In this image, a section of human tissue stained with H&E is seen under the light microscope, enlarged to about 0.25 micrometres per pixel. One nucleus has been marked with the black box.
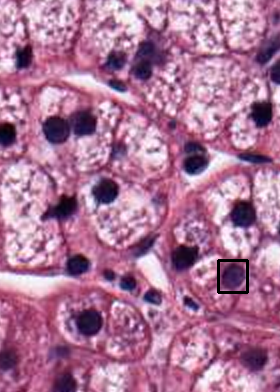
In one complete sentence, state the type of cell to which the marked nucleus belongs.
The marked nucleus is housed in an adrenal cortical cell.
